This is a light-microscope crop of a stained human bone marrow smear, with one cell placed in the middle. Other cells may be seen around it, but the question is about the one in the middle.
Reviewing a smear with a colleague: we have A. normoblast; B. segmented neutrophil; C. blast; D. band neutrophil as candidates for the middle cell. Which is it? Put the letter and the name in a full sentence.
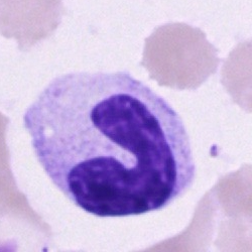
The cell in the center of this crop is a band neutrophil, so option D is the one to pick.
